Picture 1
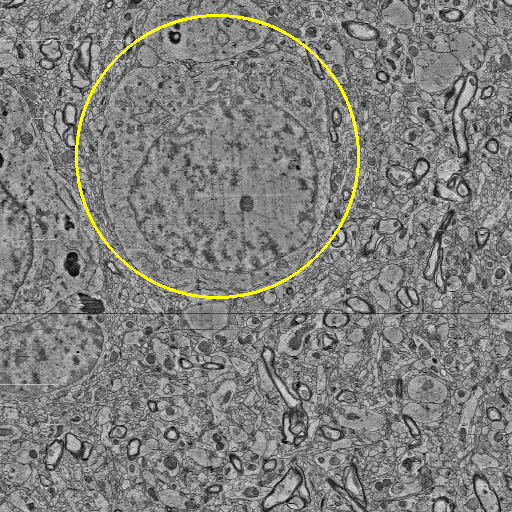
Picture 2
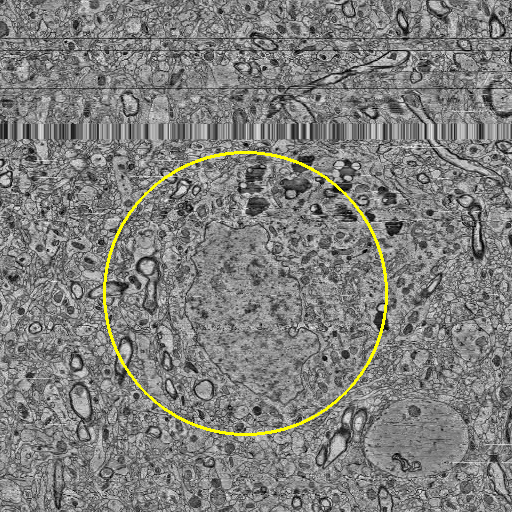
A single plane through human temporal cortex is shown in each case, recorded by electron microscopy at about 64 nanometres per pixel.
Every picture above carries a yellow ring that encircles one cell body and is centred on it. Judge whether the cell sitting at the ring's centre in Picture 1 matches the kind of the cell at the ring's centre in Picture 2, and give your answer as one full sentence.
No, the cells centred in the rings of Pictures 1 and 2 belong to two kinds.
